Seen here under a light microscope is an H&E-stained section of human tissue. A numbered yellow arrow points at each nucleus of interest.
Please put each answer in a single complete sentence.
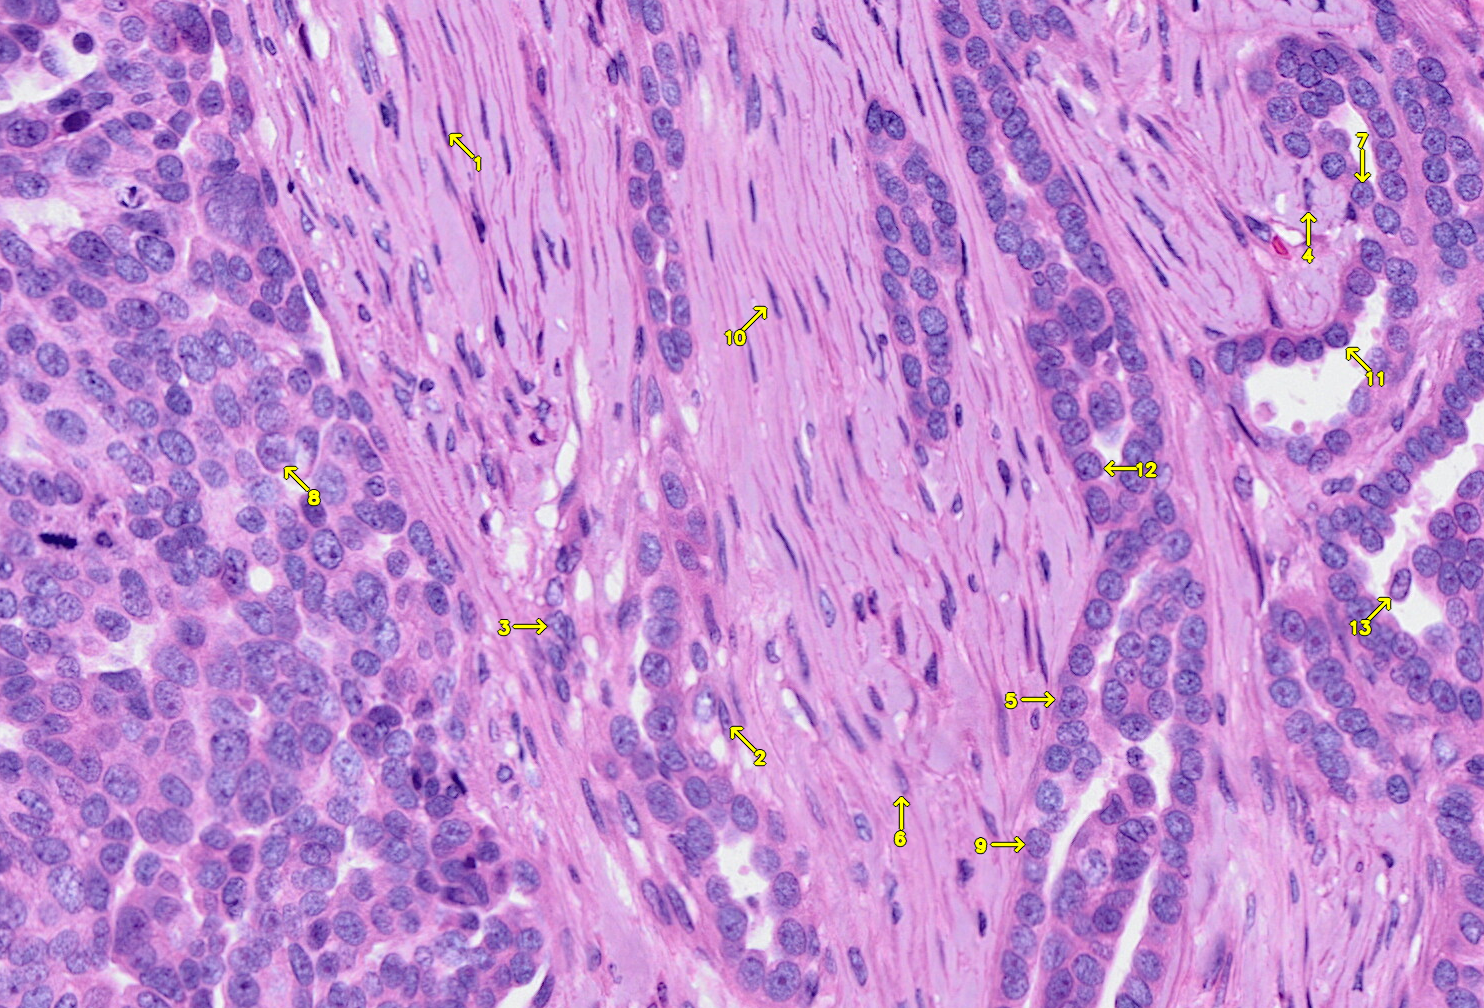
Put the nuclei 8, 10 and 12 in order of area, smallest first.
Smallest first, the nuclei run 10, 12, 8.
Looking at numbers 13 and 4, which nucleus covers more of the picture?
Nucleus 13 covers more area, about 2.5 times as much as nucleus 4.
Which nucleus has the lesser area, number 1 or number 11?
With nucleus 11 about 2.5 times its size, nucleus 1 is the smaller of the two.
